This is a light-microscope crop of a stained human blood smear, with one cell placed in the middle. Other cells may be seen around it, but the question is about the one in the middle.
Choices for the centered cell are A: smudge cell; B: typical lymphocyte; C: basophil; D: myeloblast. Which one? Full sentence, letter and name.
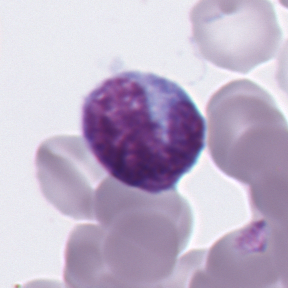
What option B states is correct, the central cell being a typical lymphocyte.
